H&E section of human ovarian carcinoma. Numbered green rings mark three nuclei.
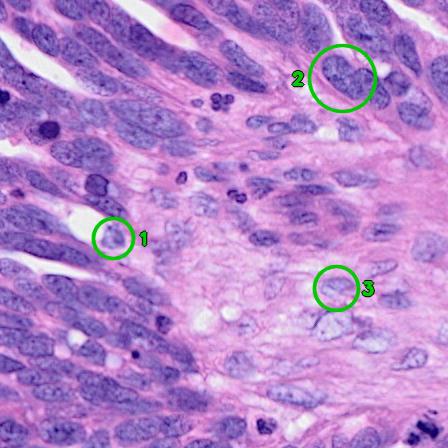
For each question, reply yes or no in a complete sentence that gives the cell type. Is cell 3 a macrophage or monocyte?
No, number 3 is not a macrophage or monocyte but a fibroblast.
